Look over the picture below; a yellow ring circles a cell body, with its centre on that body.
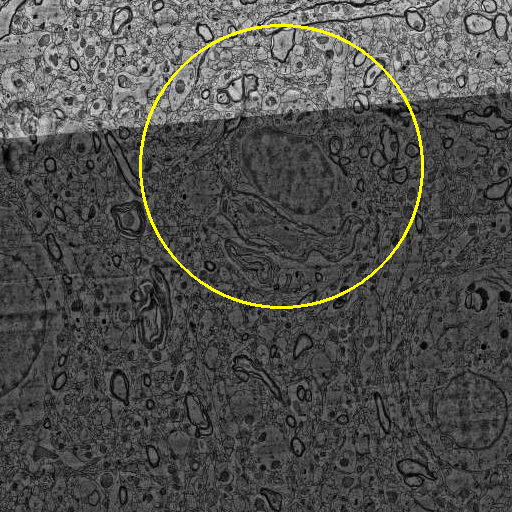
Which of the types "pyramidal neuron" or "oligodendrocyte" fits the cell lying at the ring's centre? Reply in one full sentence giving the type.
The picture shows an oligodendrocyte at the centre of the yellow ring.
